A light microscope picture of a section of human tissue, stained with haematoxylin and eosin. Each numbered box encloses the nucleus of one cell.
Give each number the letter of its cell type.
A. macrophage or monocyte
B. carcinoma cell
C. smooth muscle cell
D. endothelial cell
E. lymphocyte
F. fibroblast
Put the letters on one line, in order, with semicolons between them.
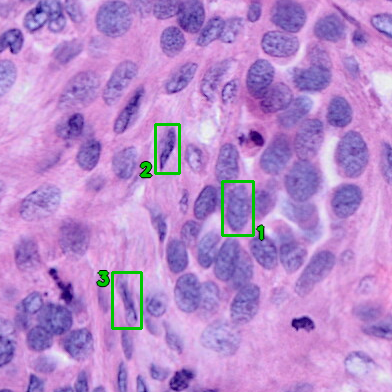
B; F; F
